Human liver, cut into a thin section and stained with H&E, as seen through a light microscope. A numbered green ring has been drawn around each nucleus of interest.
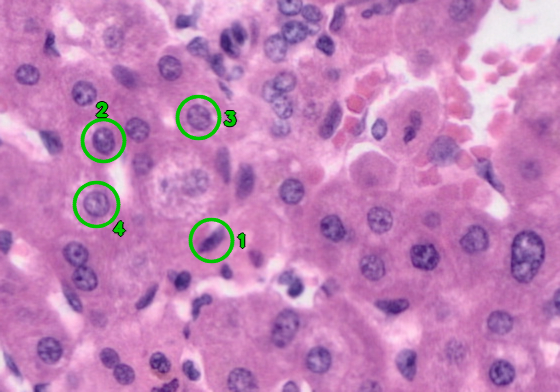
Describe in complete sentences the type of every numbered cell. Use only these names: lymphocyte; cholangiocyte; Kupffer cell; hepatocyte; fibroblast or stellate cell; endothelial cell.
Cell 1 is a fibroblast or stellate cell, cell 2 is a hepatocyte, cell 3 is a hepatocyte and cell 4 is a hepatocyte.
